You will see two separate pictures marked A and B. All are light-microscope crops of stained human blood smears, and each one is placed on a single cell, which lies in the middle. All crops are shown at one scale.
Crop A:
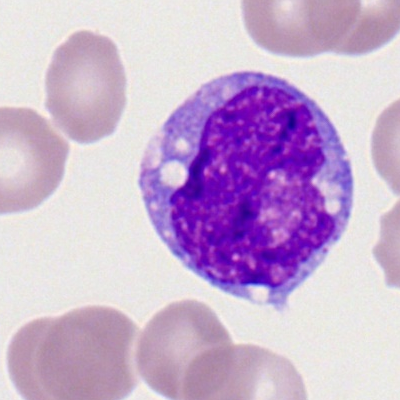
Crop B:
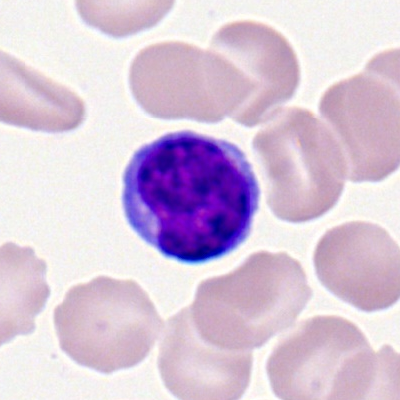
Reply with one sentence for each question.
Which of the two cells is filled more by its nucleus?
The nucleus fills more of the cell in crop B than in crop A.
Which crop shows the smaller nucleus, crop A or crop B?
Crop B shows the smaller nucleus, since that in crop A covers about 2 times as much area.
